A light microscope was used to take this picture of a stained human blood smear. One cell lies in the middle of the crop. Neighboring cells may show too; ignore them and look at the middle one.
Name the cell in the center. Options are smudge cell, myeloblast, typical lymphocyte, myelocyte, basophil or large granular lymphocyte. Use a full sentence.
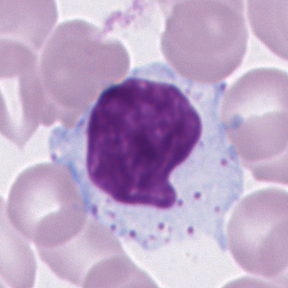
As for the central cell, it is a large granular lymphocyte.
